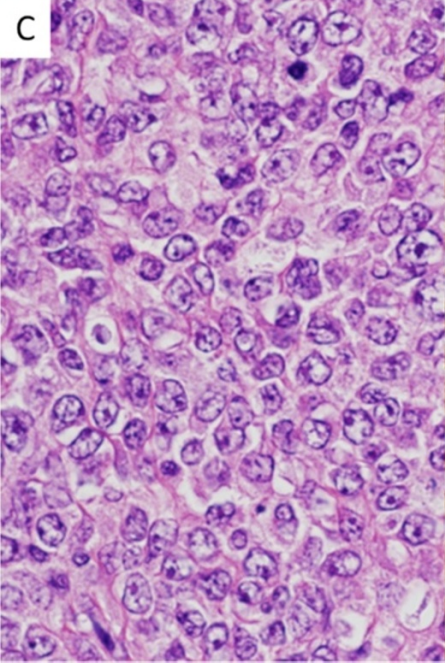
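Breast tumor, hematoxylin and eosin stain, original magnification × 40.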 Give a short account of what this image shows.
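A dense sheet of large, closely packed neoplastic cells fills the field without glandular arrangement. The cells have large round to oval nuclei with pale, open vesicular chromatin and distinct nucleoli, surrounded by a modest rim of pale pink cytoplasm. Scattered darker, condensed nuclei lie among them.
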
